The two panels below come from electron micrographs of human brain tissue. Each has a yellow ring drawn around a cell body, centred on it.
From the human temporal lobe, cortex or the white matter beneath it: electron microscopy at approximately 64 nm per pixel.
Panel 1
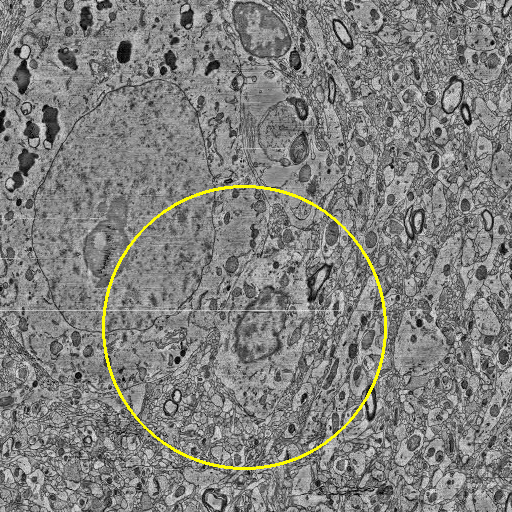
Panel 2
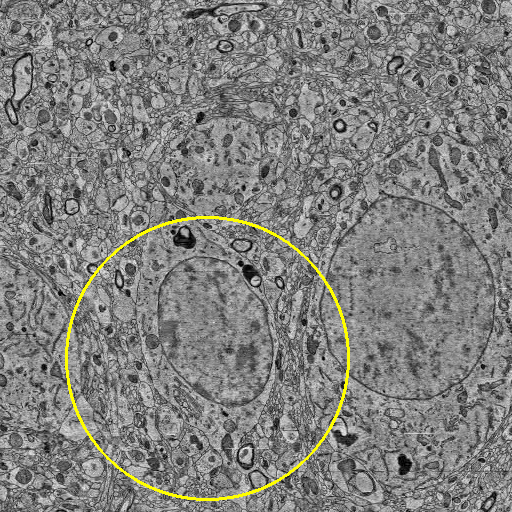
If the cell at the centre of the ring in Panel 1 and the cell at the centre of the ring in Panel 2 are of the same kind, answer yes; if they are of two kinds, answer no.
yes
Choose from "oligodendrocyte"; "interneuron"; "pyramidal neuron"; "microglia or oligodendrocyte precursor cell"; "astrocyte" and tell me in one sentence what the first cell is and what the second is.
Both cells are the same kind, each one being an interneuron.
